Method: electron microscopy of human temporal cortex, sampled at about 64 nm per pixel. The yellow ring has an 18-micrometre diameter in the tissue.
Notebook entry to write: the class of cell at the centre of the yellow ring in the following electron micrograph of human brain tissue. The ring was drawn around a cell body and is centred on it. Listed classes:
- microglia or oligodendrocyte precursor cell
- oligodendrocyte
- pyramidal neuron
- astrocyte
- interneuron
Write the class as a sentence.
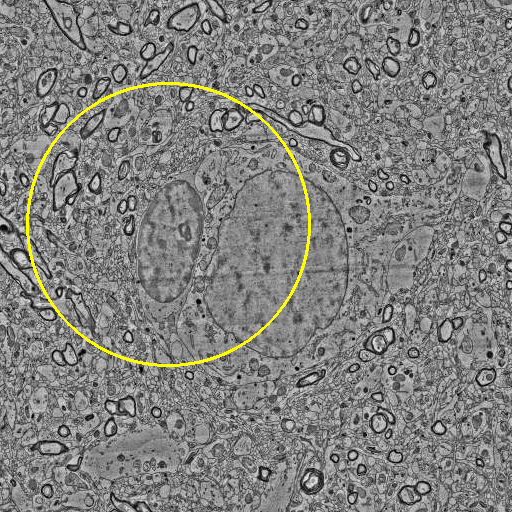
The yellow ring sits on an oligodendrocyte.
